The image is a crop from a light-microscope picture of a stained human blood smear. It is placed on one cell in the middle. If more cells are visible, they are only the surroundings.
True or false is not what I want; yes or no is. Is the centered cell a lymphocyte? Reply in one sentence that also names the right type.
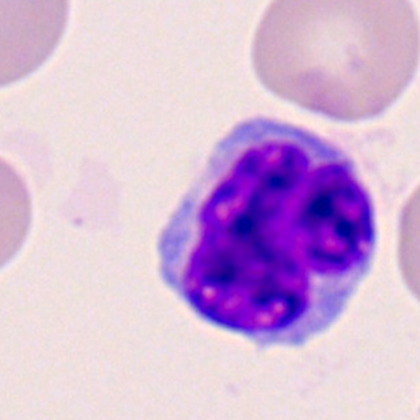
Yes, the middle cell in this crop is a lymphocyte.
